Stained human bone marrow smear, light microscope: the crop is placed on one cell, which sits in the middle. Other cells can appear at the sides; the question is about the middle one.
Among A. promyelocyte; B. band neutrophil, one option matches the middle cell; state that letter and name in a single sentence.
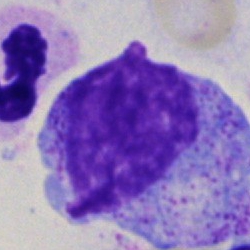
It is a promyelocyte that occupies the centre of the crop, so option A is correct.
